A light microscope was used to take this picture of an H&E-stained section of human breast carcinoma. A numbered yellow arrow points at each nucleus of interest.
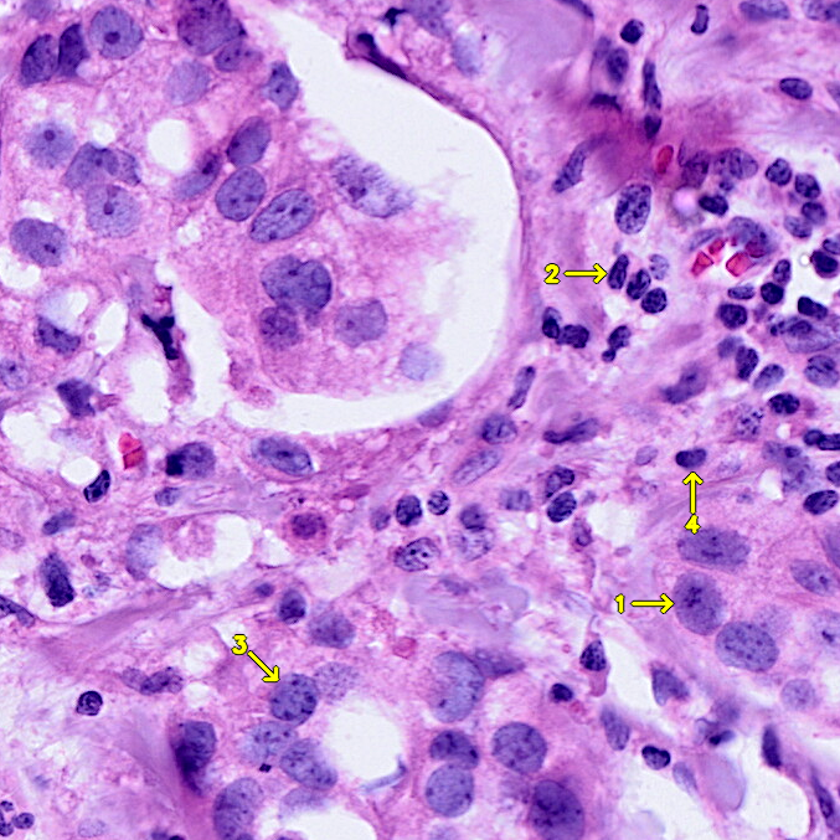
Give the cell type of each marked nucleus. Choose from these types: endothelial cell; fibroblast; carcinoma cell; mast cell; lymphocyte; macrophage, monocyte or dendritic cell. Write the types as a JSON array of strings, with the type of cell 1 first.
["carcinoma cell", "lymphocyte", "carcinoma cell", "lymphocyte"]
